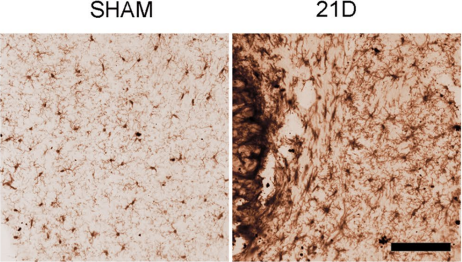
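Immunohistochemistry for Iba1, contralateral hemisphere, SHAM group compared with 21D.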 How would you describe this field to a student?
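Two fields of brain tissue with brown-stained microglia/macrophages on a pale background. In the left field the cells are sparse and evenly spaced. Each has a small dark body and thin, branching processes radiating in several directions. In the right field the stained cells are more numerous and lie closer together. Many are elongated, with thicker processes aligned in streams. At one edge of this field there is a dense, very dark band of staining. Together the fields show microglia/macrophages in resting, ramified form in one field, and crowded, elongated, more strongly stained cells in the other.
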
